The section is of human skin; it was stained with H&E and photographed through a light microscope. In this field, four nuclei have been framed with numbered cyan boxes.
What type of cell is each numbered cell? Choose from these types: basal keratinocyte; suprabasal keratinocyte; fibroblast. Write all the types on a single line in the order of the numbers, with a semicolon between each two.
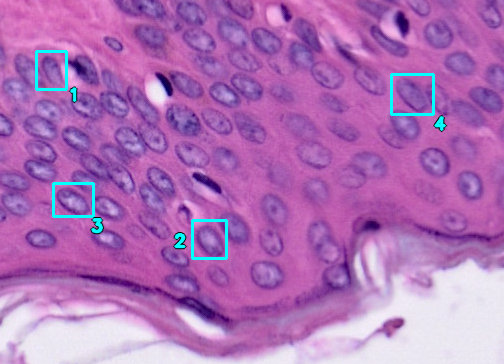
basal keratinocyte; suprabasal keratinocyte; suprabasal keratinocyte; suprabasal keratinocyte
